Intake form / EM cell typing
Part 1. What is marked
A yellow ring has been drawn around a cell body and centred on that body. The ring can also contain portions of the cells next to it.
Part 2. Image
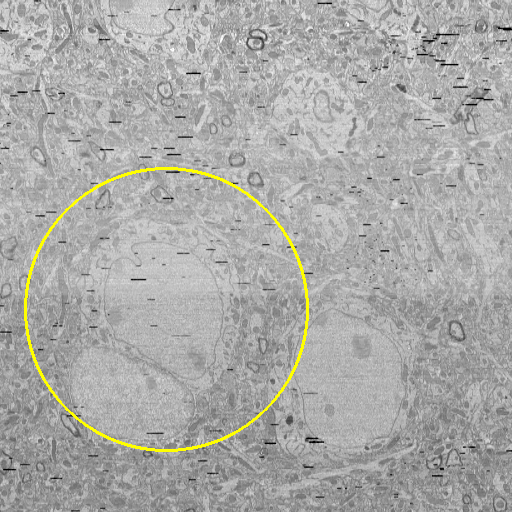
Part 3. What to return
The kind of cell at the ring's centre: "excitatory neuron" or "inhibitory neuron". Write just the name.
excitatory neuron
